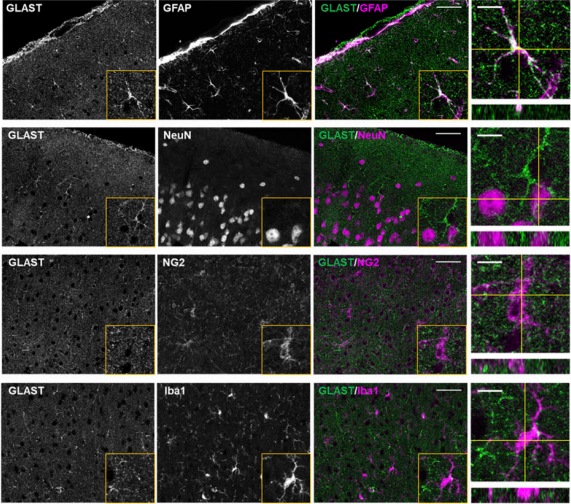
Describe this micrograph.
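Sections of cerebral cortex show a dense green meshwork of fine branching processes throughout the tissue. In the first row the magenta cells are star-shaped, with several radiating processes that the green outlines closely. In the other rows the magenta marks round neuronal cell bodies or small branched cells that lie among the green processes without sharing their outline.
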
